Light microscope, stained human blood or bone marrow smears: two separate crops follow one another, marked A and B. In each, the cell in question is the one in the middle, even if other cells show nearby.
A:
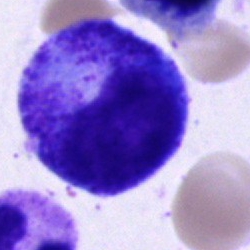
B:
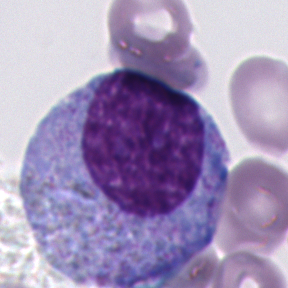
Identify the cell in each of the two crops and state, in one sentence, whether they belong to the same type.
Yes, both crops show promyelocytes as the central cells.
